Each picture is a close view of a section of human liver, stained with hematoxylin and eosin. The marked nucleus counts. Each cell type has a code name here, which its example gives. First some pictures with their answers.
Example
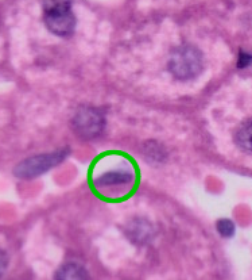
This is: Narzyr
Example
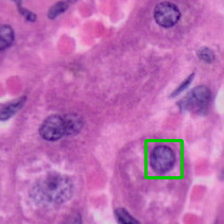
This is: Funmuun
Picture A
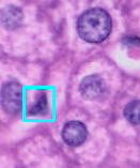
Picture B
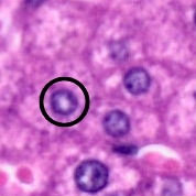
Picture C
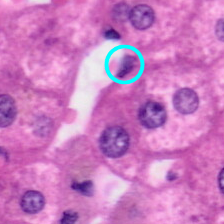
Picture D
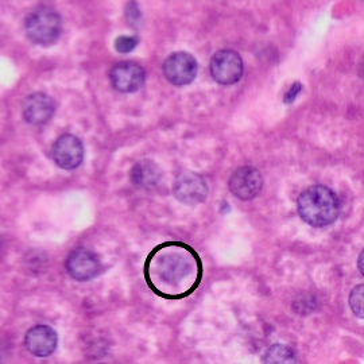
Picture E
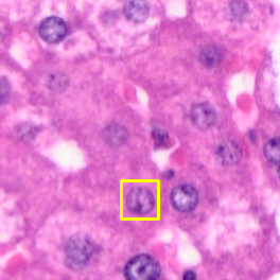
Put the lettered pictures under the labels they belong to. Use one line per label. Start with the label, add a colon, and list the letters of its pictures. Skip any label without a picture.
Narzyr: A, C
Funmuun: B, D, E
